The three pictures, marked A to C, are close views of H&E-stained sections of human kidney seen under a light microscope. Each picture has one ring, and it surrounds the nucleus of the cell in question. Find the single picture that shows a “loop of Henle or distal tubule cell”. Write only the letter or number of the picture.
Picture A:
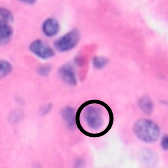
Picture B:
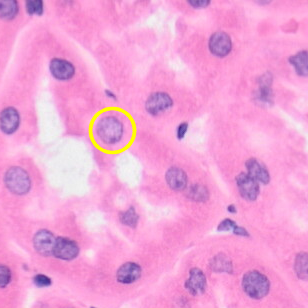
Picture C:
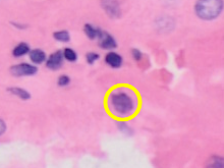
A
